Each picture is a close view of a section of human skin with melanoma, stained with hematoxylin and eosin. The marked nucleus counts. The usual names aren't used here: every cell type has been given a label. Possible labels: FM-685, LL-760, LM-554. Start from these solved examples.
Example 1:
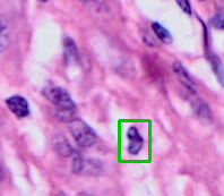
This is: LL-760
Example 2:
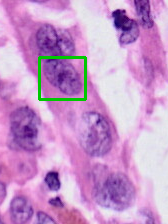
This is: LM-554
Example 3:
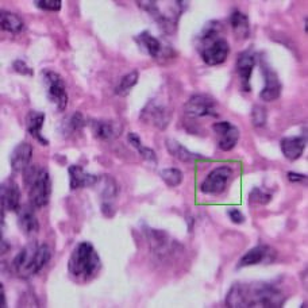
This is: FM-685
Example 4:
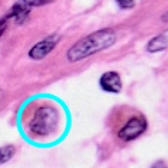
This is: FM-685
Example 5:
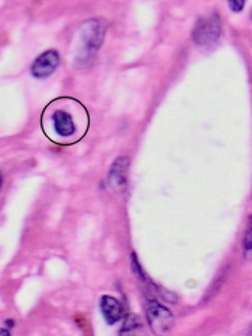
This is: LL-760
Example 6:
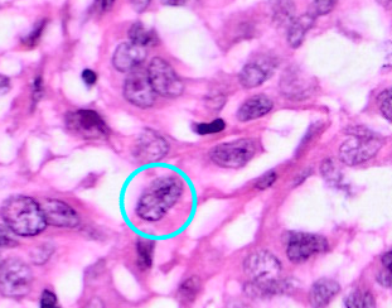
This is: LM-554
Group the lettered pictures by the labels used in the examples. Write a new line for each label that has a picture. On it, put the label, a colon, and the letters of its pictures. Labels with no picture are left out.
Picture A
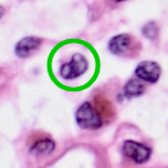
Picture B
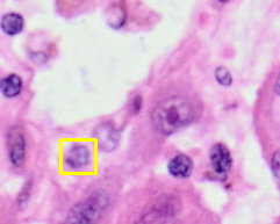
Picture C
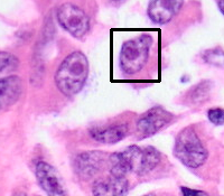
FM-685: B
LL-760: A
LM-554: C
